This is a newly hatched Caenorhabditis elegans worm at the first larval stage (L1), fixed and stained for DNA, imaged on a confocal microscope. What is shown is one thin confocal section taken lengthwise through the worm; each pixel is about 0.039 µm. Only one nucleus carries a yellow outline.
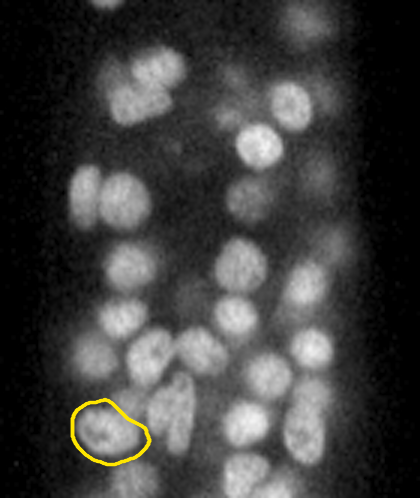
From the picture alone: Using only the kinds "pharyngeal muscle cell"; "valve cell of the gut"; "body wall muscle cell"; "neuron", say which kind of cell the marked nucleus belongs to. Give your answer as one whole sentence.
The nucleus comes from a body wall muscle cell.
